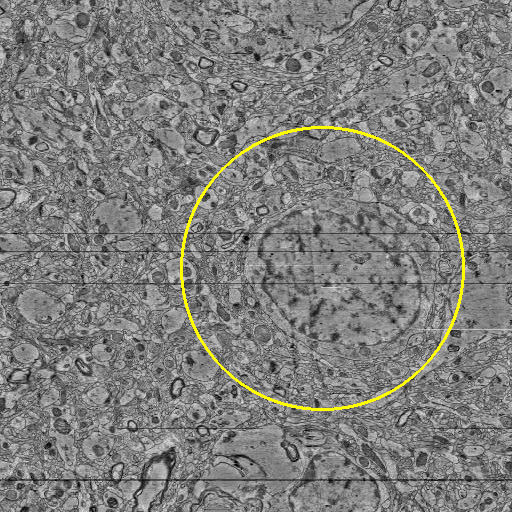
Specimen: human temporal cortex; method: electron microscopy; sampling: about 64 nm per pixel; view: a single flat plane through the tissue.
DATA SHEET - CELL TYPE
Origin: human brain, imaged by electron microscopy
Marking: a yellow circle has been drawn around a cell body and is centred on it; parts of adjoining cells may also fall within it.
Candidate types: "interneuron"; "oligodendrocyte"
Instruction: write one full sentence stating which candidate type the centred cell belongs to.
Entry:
The cell body at the centre of the yellow ring in this micrograph belongs to an interneuron.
